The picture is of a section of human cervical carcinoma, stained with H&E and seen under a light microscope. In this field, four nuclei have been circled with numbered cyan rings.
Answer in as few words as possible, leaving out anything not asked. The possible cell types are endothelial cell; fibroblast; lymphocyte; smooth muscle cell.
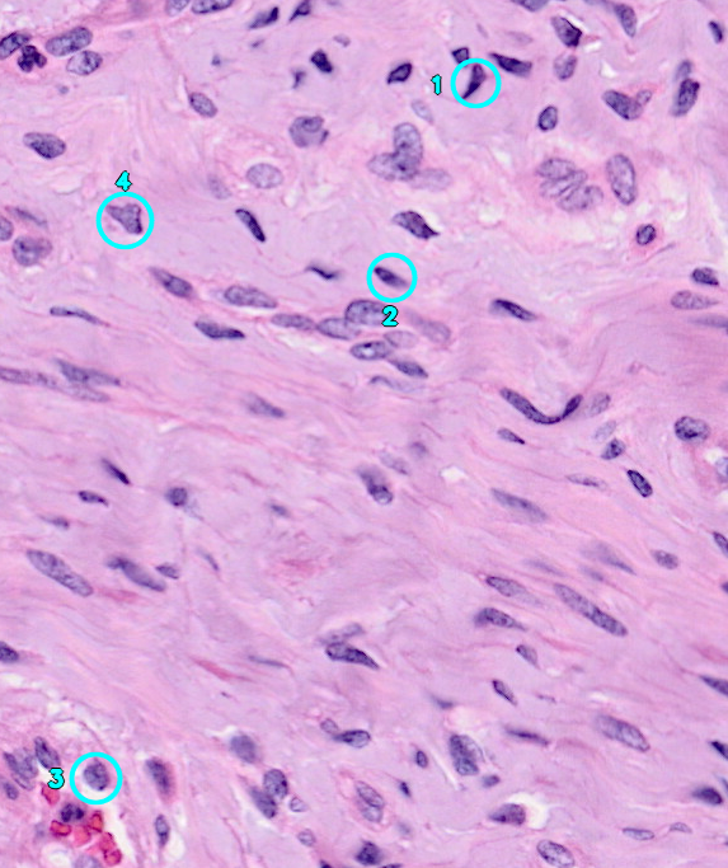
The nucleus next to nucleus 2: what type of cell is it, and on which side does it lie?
an endothelial cell; below and to the left of nucleus 2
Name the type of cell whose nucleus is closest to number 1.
fibroblast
